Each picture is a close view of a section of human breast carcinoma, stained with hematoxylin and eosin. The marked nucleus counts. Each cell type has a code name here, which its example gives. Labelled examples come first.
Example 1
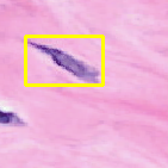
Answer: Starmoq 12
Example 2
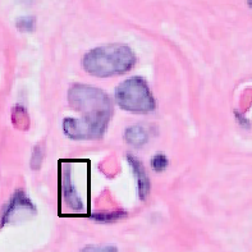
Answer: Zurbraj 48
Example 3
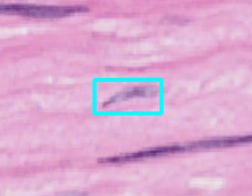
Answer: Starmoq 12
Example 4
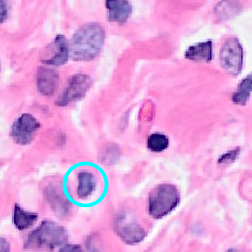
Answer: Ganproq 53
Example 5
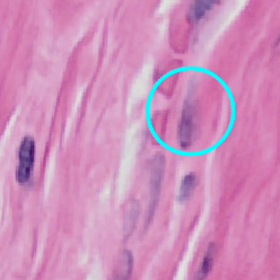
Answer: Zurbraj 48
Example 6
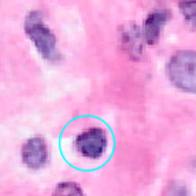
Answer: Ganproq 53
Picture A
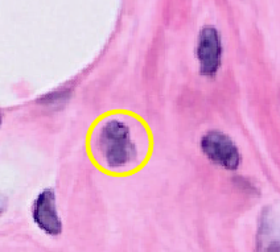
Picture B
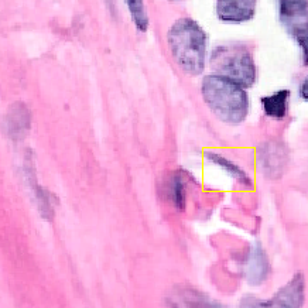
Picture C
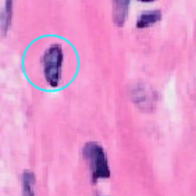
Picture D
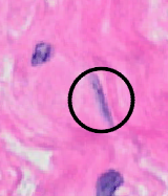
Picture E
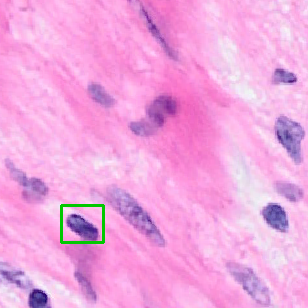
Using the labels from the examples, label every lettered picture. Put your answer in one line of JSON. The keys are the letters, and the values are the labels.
{"A": "Ganproq 53", "B": "Zurbraj 48", "C": "Ganproq 53", "D": "Starmoq 12", "E": "Ganproq 53"}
